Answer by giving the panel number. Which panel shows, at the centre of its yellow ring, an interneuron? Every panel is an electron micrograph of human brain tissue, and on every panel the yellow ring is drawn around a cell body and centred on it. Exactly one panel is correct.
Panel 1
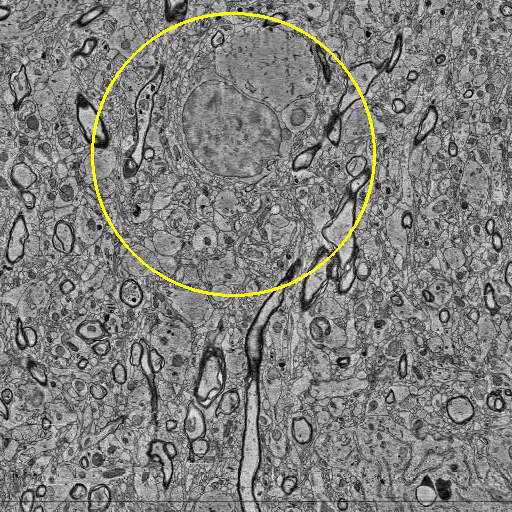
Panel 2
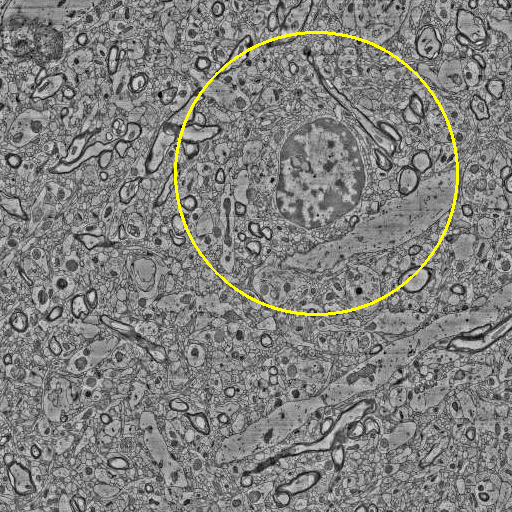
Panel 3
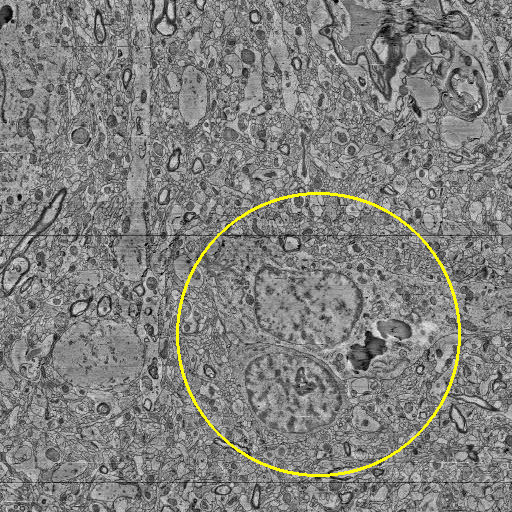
3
